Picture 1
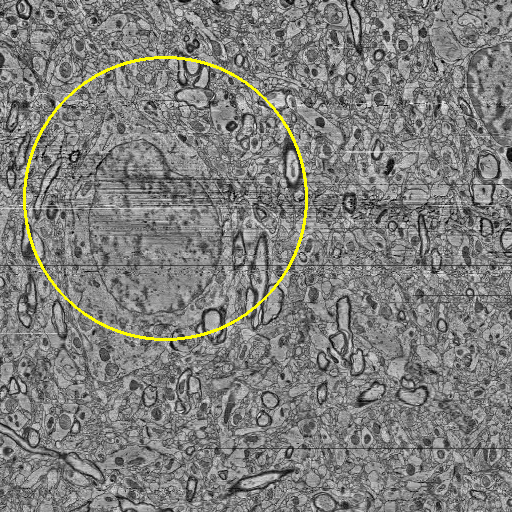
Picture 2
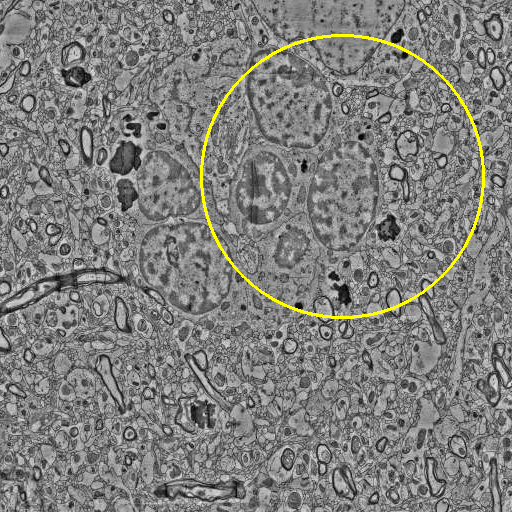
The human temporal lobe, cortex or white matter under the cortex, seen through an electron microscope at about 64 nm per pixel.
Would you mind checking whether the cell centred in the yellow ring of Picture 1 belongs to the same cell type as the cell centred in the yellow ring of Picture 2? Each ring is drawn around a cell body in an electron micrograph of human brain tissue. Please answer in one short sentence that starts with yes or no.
No, the two cells are of two types.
